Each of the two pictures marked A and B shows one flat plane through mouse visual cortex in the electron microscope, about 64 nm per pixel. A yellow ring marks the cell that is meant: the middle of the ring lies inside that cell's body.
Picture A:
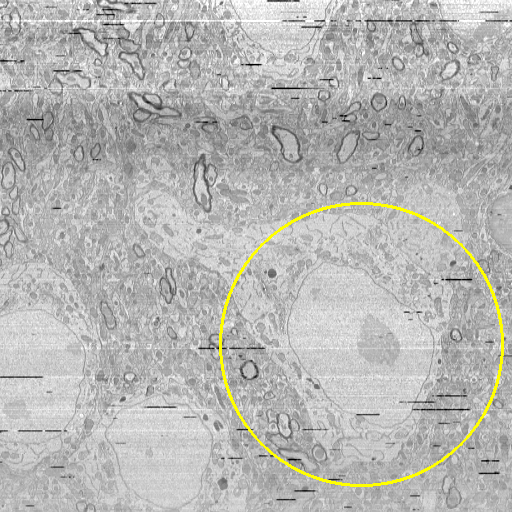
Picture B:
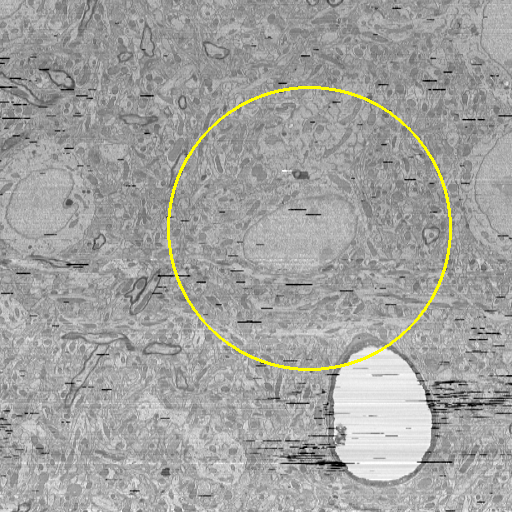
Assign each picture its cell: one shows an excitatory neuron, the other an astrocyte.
Picture B shows an astrocyte, while picture A shows an excitatory neuron.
